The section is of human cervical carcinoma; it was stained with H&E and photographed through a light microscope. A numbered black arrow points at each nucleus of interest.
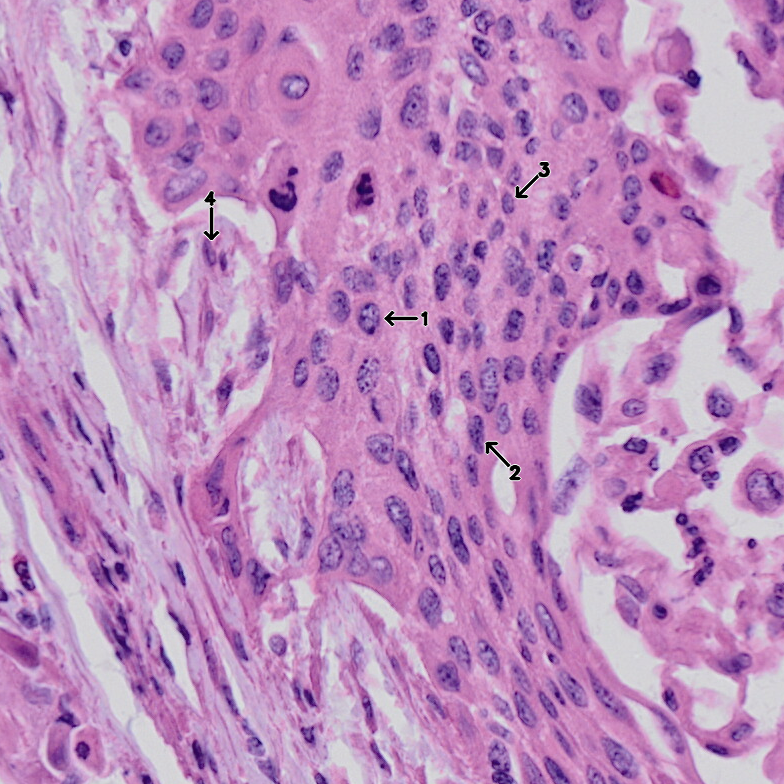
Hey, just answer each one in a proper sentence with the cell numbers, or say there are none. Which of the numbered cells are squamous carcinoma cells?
Here, the cells that carry numbers 1, 2 and 3 are squamous carcinoma cells.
